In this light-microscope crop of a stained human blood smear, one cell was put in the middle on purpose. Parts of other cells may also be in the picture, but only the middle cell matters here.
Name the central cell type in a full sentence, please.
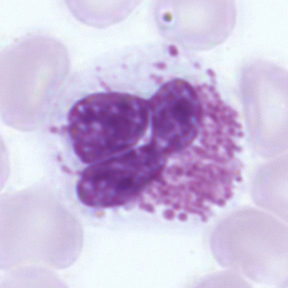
Standing at the centre of this crop is an eosinophil.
